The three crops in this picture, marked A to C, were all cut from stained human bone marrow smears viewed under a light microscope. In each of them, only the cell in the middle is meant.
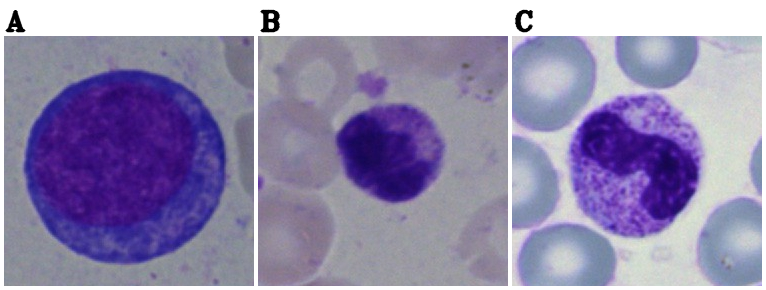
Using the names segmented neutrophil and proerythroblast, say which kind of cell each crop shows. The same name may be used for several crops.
A: proerythroblast
B: segmented neutrophil
C: segmented neutrophil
